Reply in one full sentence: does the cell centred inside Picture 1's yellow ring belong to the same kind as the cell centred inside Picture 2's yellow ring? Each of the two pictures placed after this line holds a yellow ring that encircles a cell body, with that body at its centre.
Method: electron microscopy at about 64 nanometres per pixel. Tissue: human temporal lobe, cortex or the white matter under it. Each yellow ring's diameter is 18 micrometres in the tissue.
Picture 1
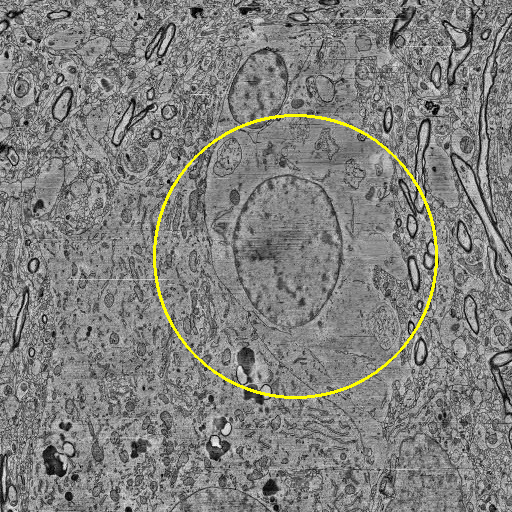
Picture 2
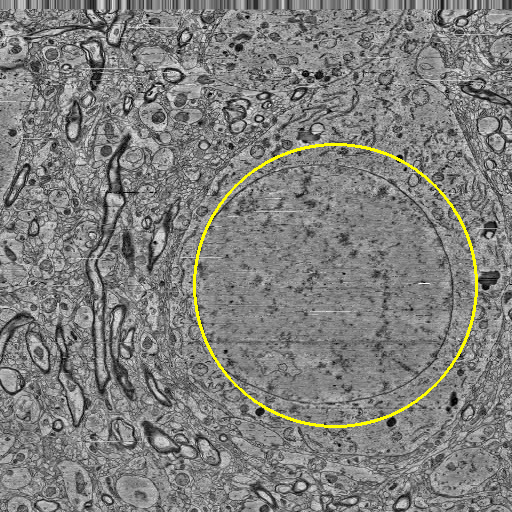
No, the ring-centred cells in Picture 1 and Picture 2 are of two separate kinds.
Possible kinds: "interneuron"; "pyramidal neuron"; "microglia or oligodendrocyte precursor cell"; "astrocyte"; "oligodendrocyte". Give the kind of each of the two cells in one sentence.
The cell in the second picture is a pyramidal neuron, and that in the first is an astrocyte.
